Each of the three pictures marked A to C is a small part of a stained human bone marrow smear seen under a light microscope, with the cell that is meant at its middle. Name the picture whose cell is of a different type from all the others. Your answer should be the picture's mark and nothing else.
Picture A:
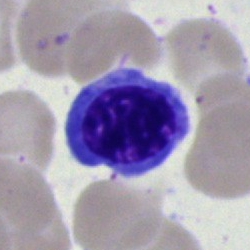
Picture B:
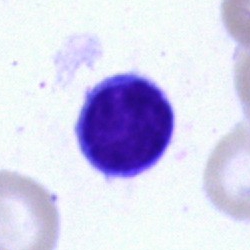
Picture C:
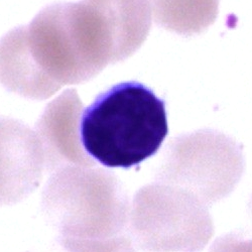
A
